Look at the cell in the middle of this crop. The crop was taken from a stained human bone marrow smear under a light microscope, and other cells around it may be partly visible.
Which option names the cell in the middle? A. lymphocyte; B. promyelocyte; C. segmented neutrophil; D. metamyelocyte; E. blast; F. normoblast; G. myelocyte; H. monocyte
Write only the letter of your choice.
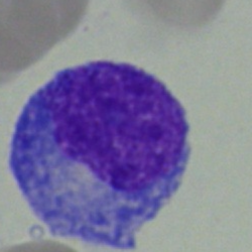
B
